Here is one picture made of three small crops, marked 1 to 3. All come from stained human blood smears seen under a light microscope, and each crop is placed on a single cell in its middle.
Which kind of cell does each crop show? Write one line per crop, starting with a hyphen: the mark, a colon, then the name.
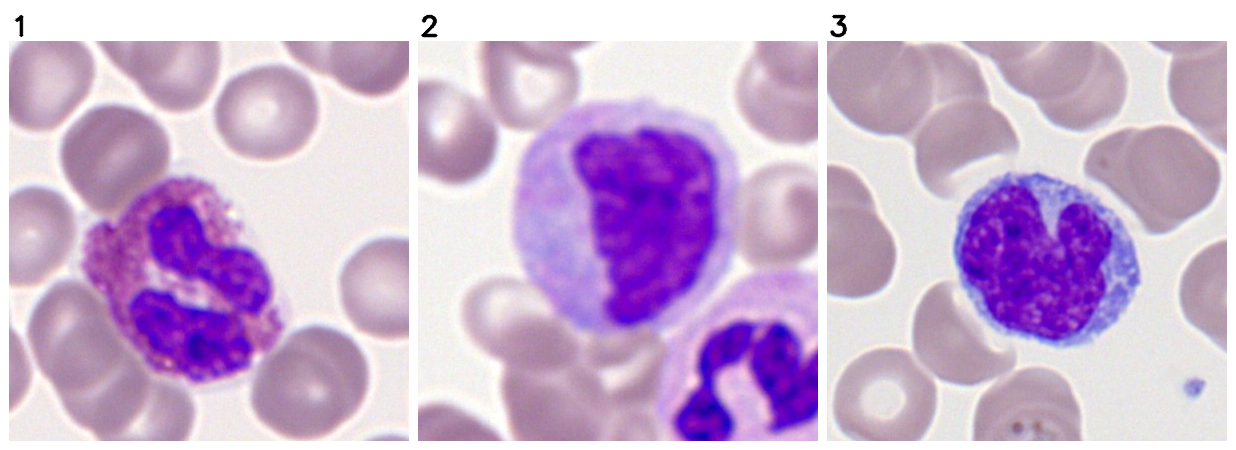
- 1: eosinophil
- 2: monocyte
- 3: monocyte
